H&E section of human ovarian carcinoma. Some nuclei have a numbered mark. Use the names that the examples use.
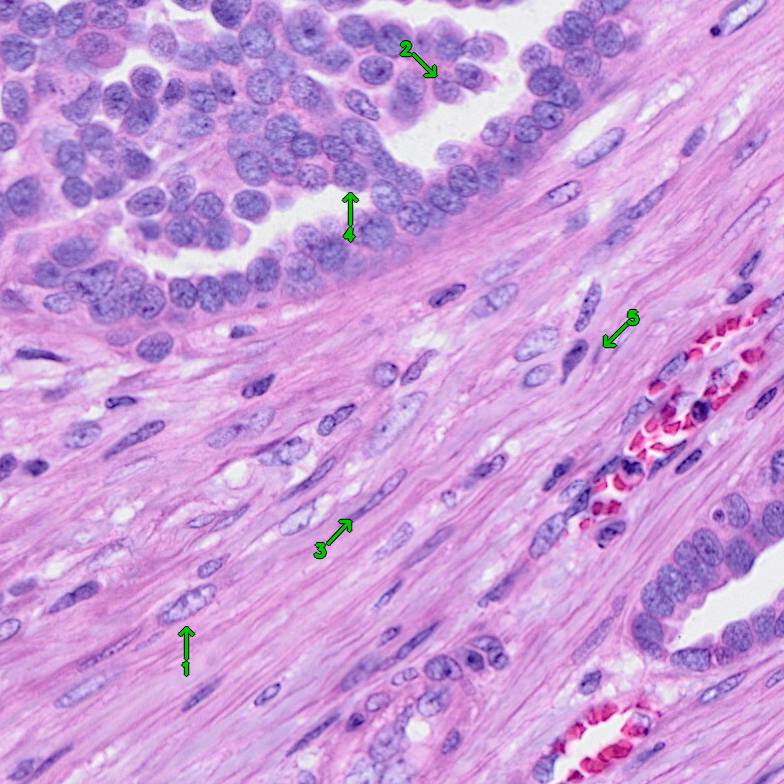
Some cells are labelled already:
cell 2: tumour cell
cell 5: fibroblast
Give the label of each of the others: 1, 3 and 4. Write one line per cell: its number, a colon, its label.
1: fibroblast
3: fibroblast
4: tumour cell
